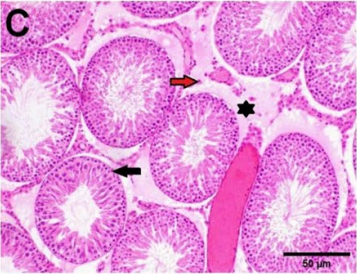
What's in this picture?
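This is testis with seminiferous tubules cut across as round profiles, and they look unlike normal. The space between them is broad and filled with pale pink, almost structureless material with few cells, which is fluid in the interstitium. A large elongated mass of bright pink lies between tubules. Small interstitial cell clusters in these spaces look pink and poorly outlined rather than crisp.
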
